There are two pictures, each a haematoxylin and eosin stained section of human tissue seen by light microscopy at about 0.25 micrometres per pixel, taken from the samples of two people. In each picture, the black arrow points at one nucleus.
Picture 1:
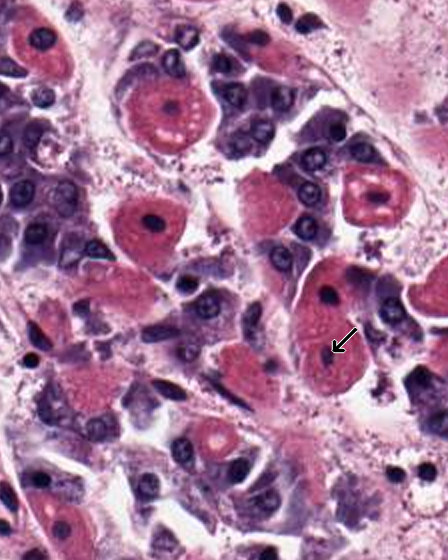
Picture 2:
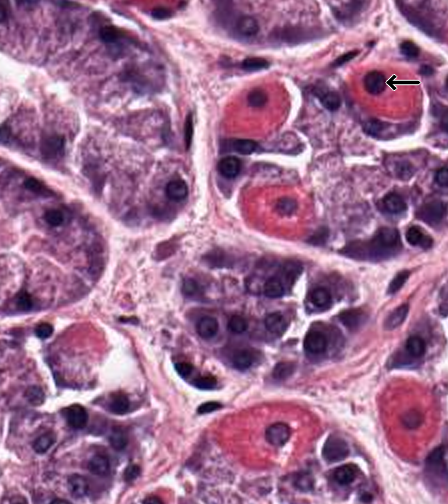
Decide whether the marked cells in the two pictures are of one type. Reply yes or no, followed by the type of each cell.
Yes, both are parietal cells.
